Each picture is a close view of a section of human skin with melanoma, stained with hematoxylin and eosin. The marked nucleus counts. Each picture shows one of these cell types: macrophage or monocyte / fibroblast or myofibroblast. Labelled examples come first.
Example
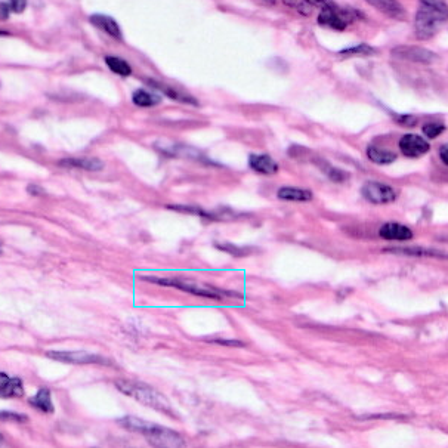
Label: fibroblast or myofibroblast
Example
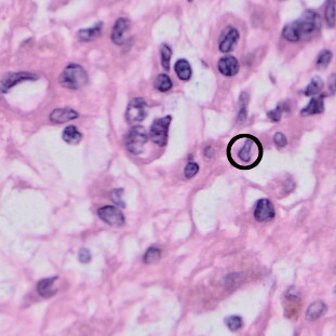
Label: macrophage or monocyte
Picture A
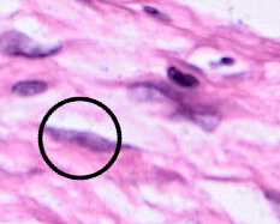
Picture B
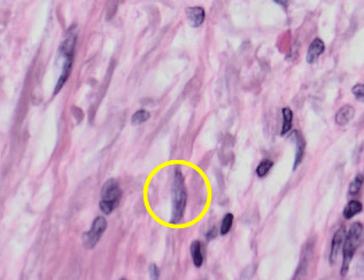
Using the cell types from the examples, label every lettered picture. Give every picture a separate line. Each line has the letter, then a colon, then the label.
A: fibroblast or myofibroblast
B: fibroblast or myofibroblast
